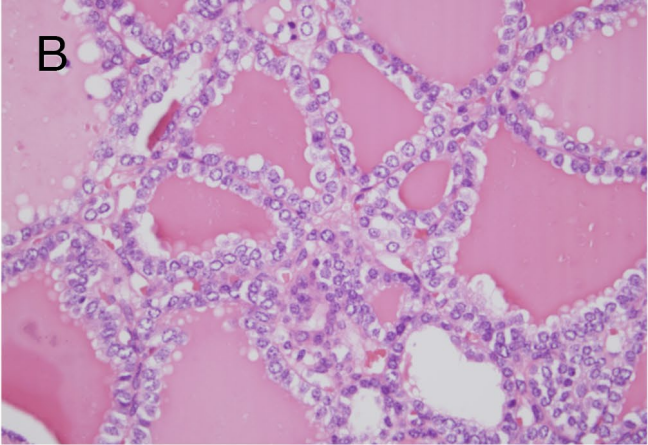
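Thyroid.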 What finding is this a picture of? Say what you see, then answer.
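Follicular cells have pale, vesicular nuclei with fine chromatin. Cells line colloid-filled follicles.
Clear nuclei.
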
